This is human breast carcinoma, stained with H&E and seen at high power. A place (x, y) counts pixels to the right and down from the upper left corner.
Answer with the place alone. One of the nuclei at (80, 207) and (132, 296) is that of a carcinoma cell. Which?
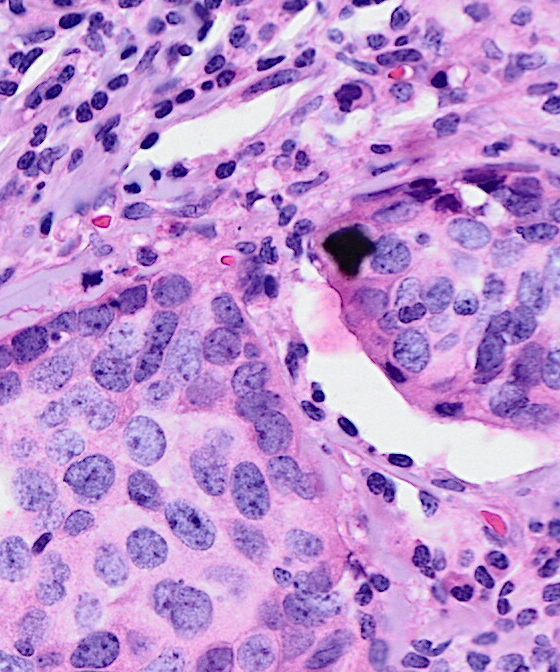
(132, 296)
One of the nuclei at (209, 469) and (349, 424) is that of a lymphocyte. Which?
(349, 424)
